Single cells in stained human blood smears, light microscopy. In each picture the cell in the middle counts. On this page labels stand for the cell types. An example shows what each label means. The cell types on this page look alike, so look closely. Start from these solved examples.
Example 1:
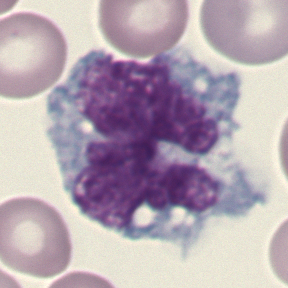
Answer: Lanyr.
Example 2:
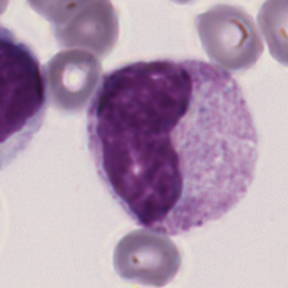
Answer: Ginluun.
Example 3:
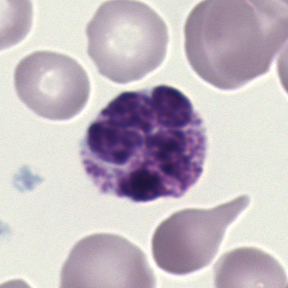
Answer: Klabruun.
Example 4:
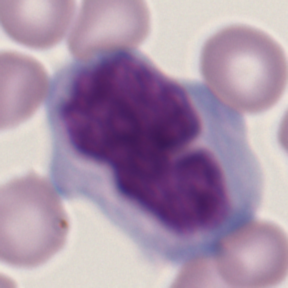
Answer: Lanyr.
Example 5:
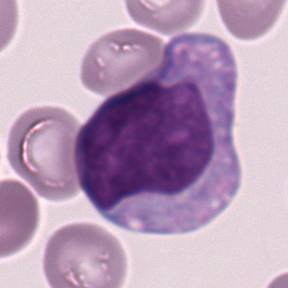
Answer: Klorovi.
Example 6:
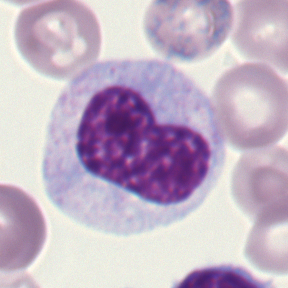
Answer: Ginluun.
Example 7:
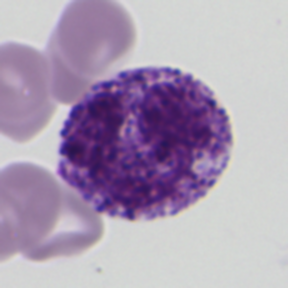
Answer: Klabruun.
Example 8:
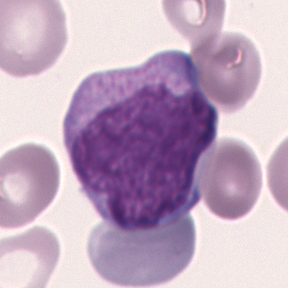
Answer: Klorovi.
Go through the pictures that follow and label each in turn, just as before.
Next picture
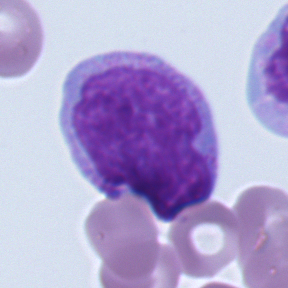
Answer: Klorovi.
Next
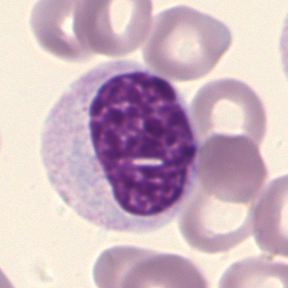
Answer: Ginluun.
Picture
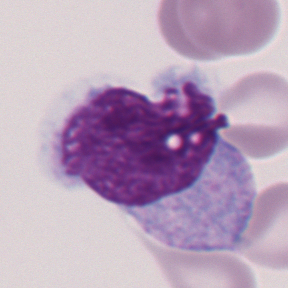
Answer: Lanyr.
